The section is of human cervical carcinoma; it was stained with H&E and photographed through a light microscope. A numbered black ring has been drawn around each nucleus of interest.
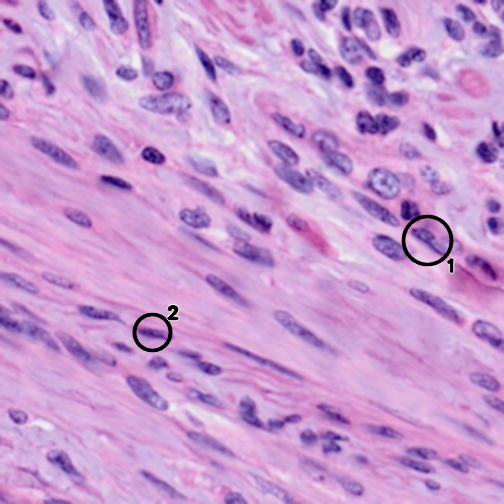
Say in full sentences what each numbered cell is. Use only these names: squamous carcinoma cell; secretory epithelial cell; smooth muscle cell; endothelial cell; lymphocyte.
Cell 1 is an endothelial cell. Cell 2 is a smooth muscle cell.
